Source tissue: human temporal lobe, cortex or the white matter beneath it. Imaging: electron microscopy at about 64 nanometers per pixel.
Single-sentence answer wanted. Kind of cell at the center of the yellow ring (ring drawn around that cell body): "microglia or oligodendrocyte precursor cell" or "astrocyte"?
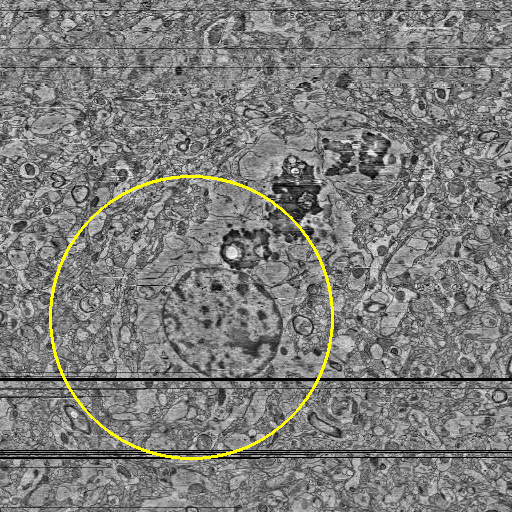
The cell centered in the ring is an astrocyte.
